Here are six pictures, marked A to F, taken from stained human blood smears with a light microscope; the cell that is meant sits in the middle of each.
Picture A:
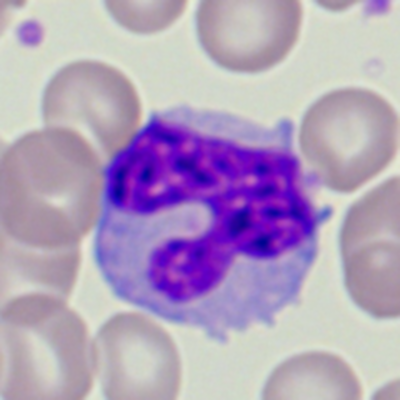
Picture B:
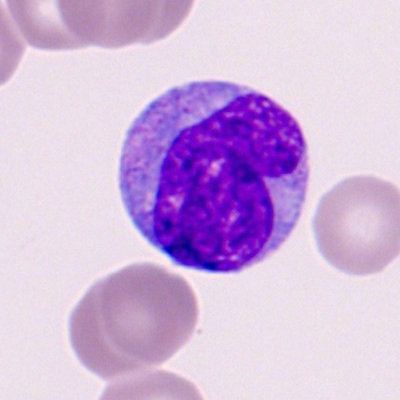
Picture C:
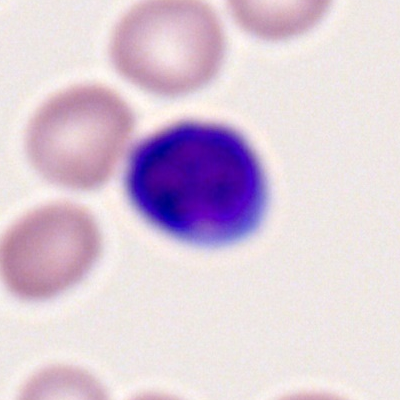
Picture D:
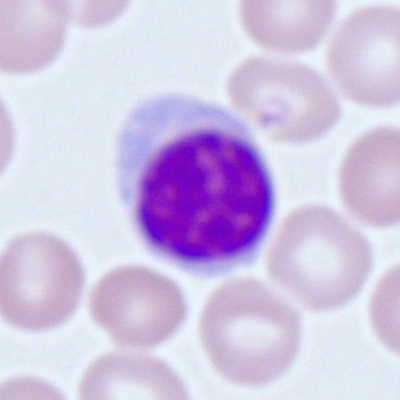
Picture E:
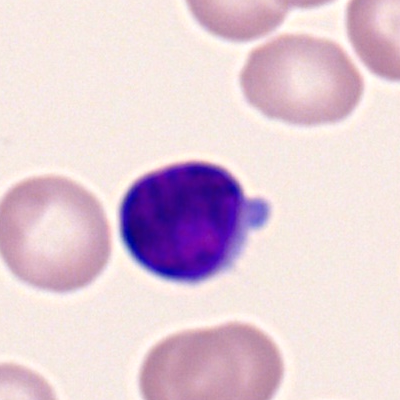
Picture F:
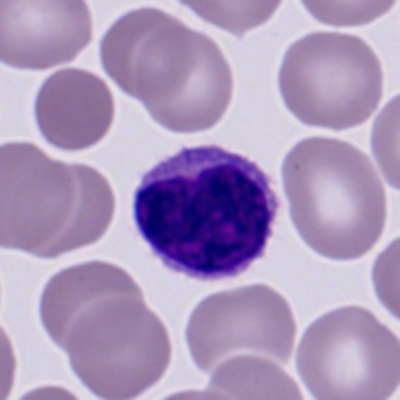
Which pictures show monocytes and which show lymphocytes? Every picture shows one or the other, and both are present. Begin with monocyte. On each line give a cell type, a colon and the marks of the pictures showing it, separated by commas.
monocyte: A, B
lymphocyte: C, D, E, F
